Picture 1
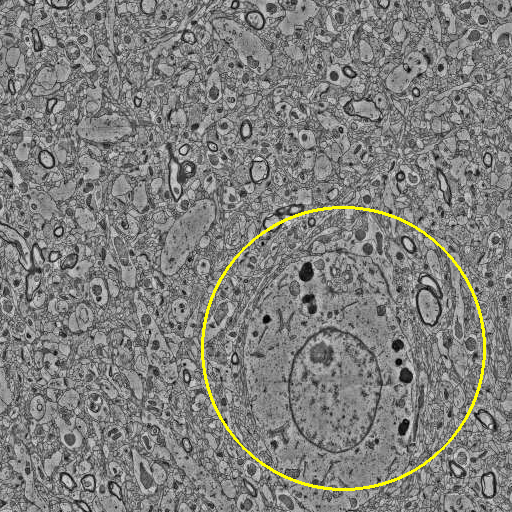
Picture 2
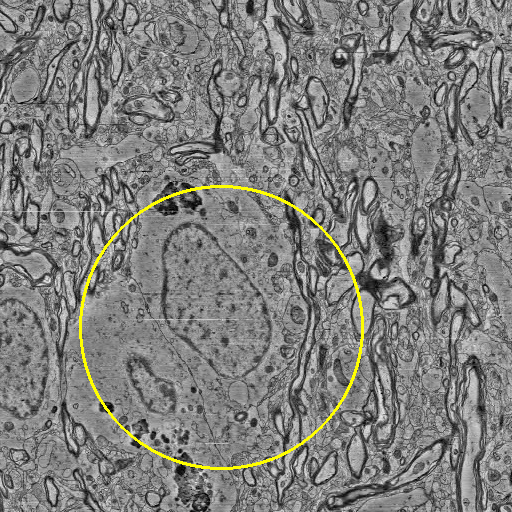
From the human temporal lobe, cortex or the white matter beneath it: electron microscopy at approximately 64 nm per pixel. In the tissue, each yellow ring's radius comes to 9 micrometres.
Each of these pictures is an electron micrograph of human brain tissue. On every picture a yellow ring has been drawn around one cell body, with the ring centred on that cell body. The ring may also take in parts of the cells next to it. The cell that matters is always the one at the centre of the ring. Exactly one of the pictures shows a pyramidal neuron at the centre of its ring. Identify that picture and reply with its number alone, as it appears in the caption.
1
